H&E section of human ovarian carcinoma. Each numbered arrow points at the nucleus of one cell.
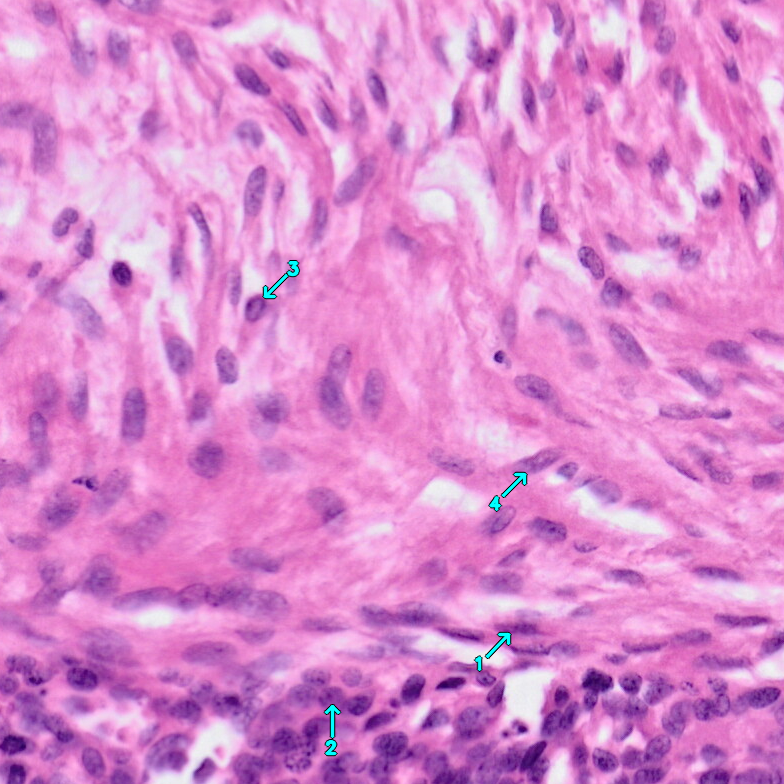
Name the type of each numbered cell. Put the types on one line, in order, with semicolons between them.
fibroblast; carcinoma cell; fibroblast; fibroblast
